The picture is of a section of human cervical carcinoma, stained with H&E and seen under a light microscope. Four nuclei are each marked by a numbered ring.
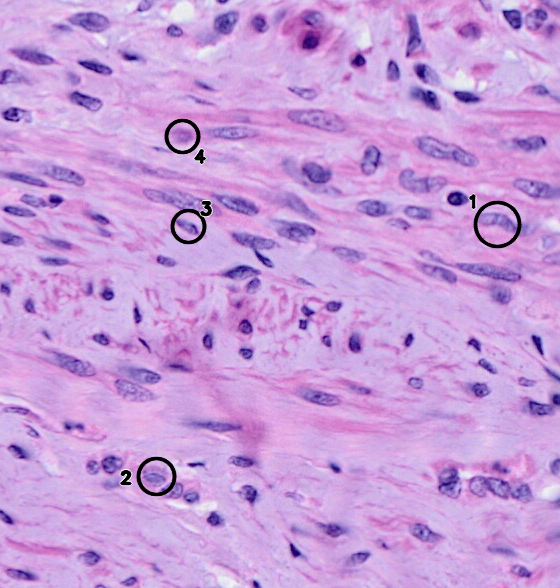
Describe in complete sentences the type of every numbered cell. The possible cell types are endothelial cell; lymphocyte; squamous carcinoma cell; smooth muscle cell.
Cell 1 is a smooth muscle cell, cell 2 is an endothelial cell, cell 3 is a smooth muscle cell and cell 4 is a smooth muscle cell.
